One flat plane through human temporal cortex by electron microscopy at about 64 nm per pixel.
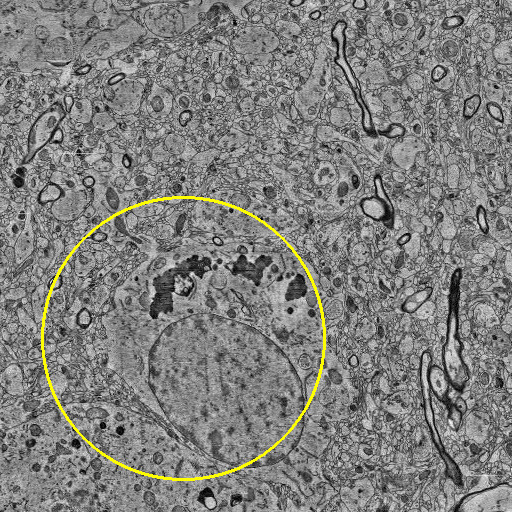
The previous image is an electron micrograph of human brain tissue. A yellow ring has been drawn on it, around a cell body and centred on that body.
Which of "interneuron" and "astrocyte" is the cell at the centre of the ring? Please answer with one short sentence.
The cell body at the centre of the ring belongs to an astrocyte.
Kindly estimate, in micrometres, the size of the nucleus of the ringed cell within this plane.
In this plane, the nucleus of the cell at the centre of the ring measures about 11 by 8 micrometres.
